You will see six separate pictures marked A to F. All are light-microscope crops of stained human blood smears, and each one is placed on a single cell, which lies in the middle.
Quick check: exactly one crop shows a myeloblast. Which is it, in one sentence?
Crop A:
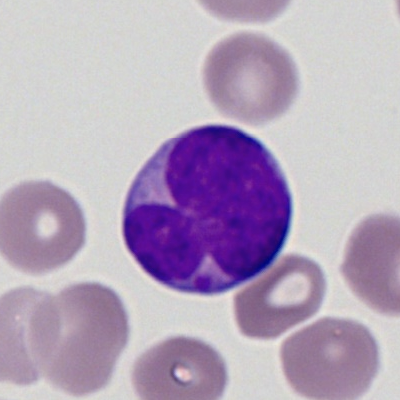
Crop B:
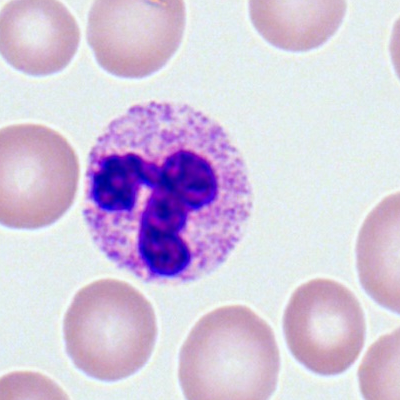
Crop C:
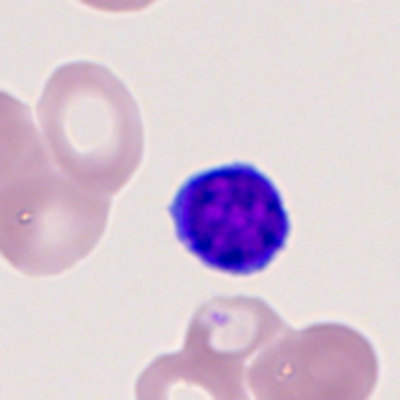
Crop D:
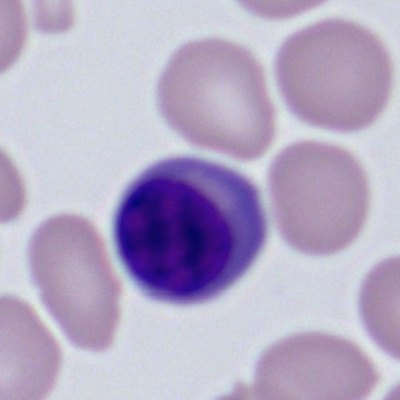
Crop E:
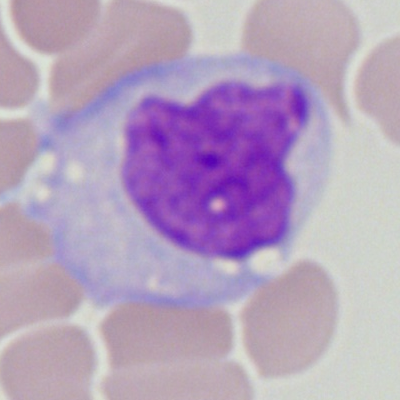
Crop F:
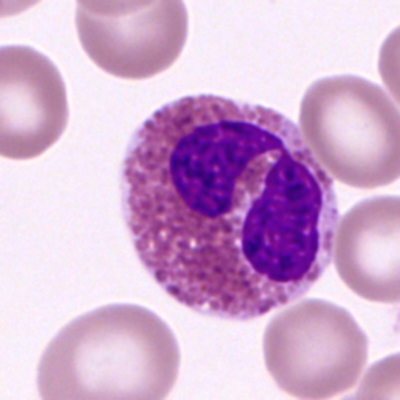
Crop A is the crop featuring a myeloblast at its center.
